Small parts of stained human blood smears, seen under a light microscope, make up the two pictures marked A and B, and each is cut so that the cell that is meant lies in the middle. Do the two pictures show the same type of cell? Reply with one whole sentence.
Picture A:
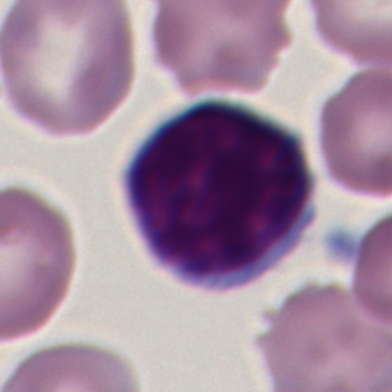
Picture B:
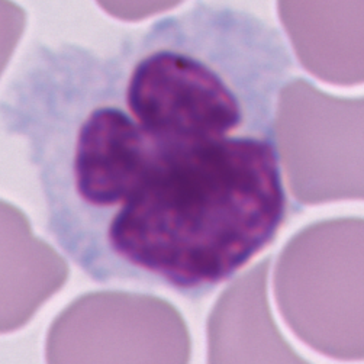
No. Picture A shows a typical lymphocyte, but picture B shows a hairy cell.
